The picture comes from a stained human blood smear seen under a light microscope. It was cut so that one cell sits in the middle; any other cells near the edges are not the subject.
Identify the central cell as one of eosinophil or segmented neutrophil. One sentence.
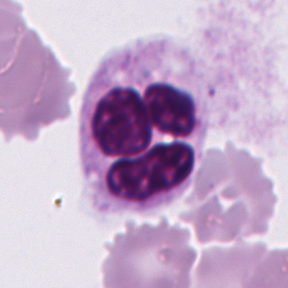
On this slide crop, the central cell is a segmented neutrophil.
